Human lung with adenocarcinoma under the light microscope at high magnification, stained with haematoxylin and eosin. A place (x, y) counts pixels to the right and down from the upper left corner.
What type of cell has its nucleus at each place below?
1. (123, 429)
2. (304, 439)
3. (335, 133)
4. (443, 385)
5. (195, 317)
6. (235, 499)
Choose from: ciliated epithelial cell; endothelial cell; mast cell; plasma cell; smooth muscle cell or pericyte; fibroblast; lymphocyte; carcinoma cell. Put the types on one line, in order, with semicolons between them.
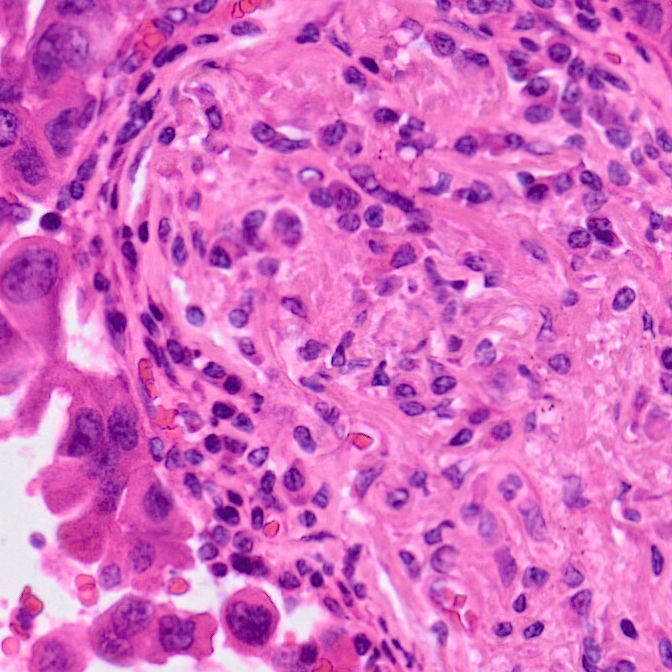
carcinoma cell; lymphocyte; plasma cell; plasma cell; lymphocyte; lymphocyte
